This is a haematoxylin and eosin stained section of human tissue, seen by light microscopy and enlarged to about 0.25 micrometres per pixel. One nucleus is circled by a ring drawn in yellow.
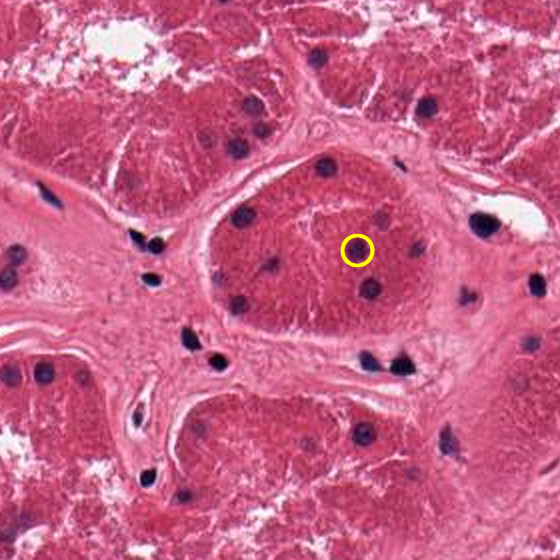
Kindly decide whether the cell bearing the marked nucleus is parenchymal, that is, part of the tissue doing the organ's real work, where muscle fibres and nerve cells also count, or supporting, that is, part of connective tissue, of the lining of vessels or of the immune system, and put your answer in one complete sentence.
The parenchymal cell containing the marked nucleus is a proximal tubule cell.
